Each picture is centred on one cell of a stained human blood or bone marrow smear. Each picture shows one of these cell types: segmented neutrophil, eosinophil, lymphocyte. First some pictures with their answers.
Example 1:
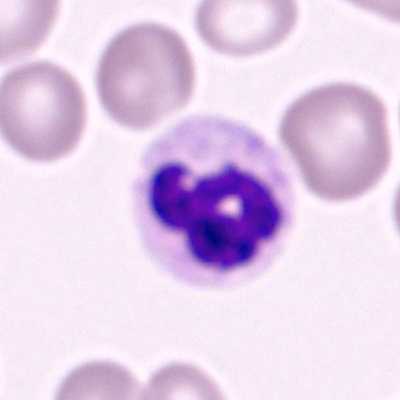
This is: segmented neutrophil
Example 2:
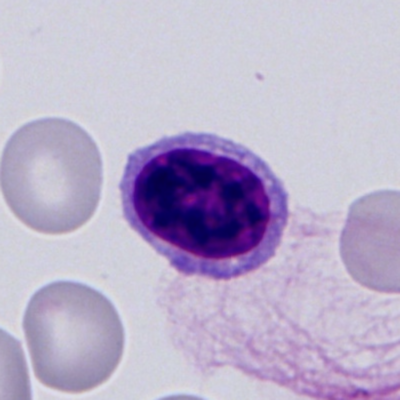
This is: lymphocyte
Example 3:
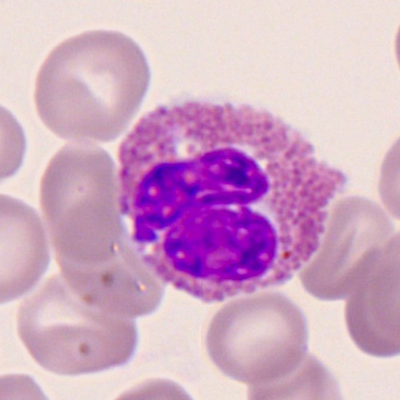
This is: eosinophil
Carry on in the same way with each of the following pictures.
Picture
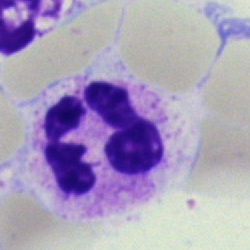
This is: segmented neutrophil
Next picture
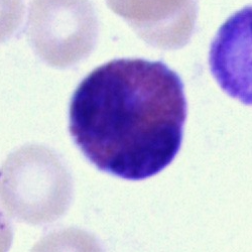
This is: eosinophil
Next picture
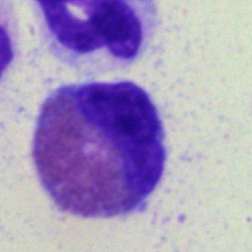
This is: eosinophil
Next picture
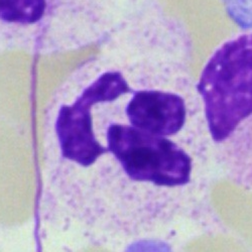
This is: segmented neutrophil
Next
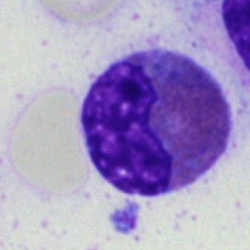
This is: eosinophil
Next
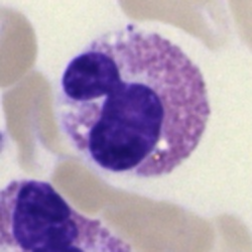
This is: eosinophil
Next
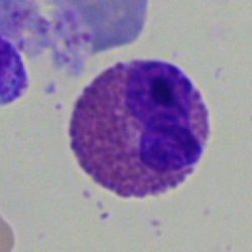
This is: eosinophil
